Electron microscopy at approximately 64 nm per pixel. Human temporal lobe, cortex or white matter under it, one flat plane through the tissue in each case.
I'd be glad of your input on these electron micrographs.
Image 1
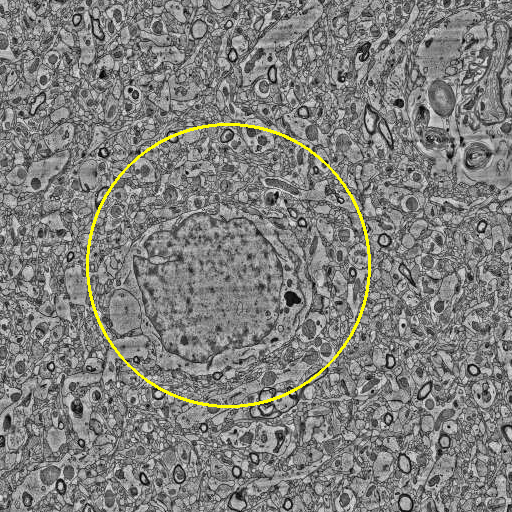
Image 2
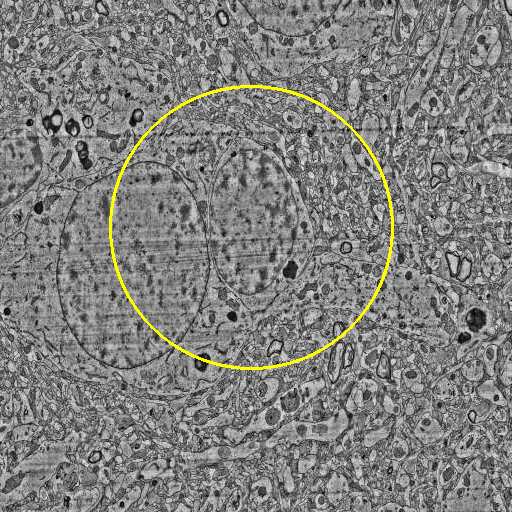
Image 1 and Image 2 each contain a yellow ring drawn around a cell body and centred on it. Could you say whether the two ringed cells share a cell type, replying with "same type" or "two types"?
same type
